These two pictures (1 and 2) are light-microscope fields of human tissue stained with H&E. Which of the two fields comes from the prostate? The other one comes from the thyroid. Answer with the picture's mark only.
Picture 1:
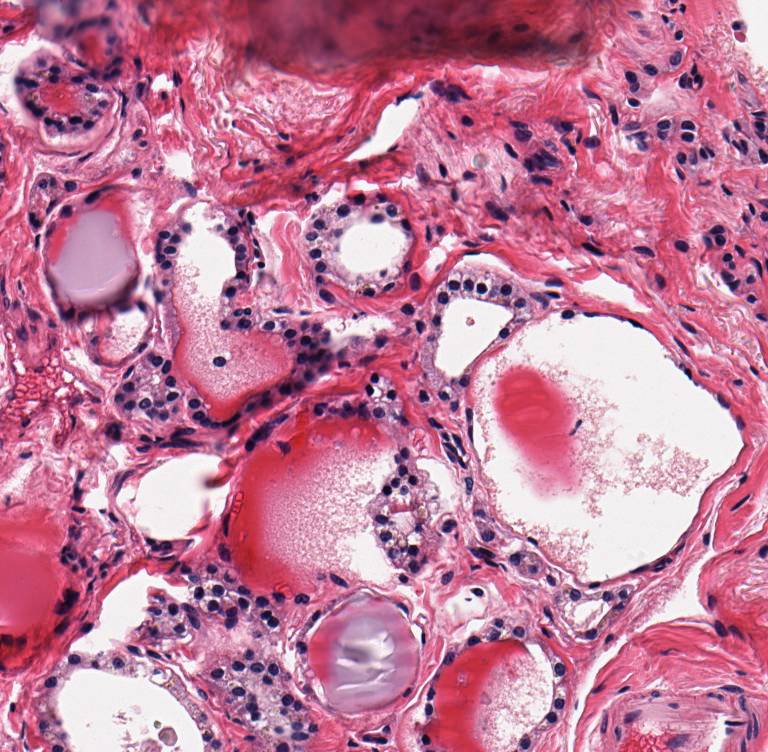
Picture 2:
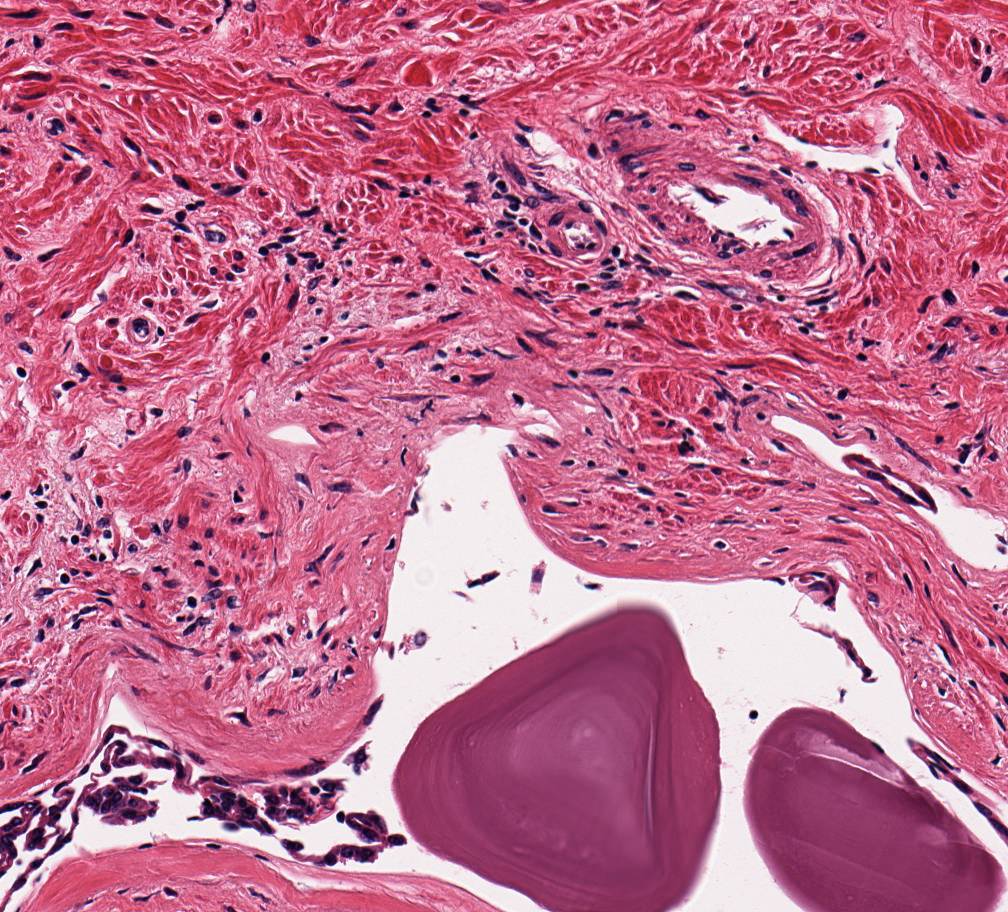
2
